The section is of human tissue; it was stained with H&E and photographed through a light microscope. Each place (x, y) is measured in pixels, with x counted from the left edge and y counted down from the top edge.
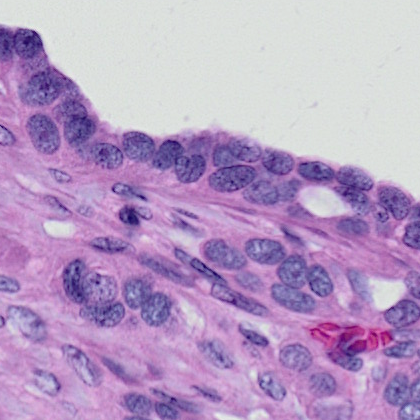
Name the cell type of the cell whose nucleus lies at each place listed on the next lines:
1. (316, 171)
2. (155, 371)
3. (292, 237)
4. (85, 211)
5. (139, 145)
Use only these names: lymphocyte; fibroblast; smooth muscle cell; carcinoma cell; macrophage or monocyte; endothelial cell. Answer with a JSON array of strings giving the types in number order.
["carcinoma cell", "fibroblast", "fibroblast", "fibroblast", "carcinoma cell"]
